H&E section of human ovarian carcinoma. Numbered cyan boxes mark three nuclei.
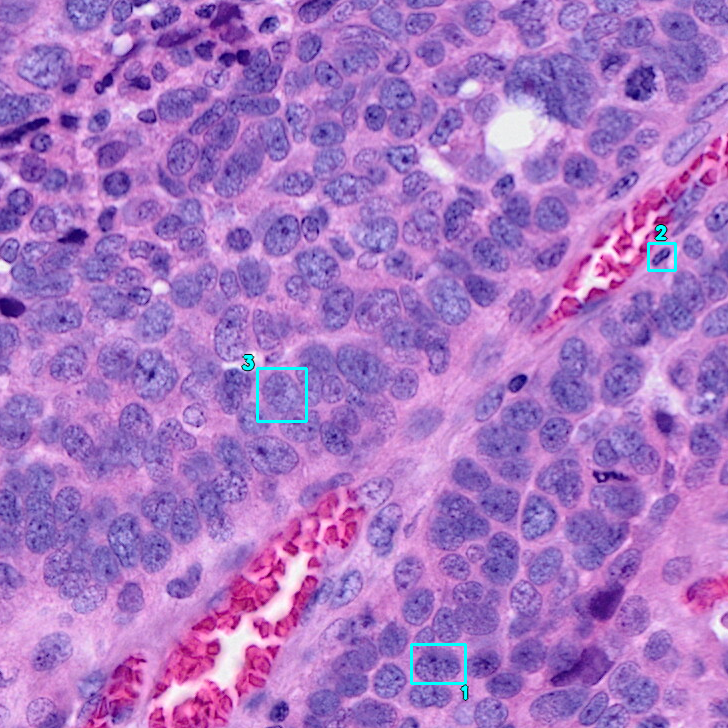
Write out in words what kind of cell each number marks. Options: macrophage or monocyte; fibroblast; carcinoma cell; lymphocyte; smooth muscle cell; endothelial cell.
Cell 1 is a carcinoma cell, cell 2 is a lymphocyte and cell 3 is a carcinoma cell.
